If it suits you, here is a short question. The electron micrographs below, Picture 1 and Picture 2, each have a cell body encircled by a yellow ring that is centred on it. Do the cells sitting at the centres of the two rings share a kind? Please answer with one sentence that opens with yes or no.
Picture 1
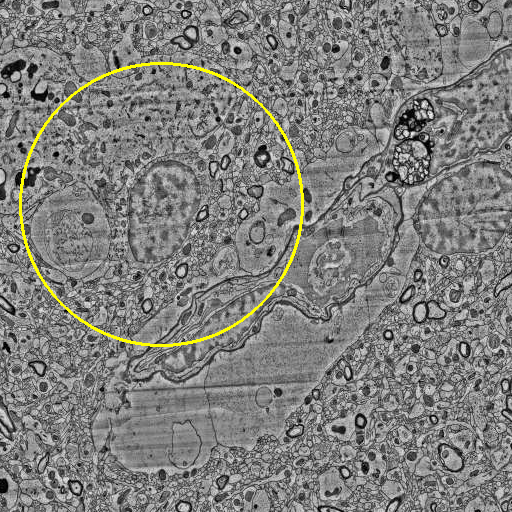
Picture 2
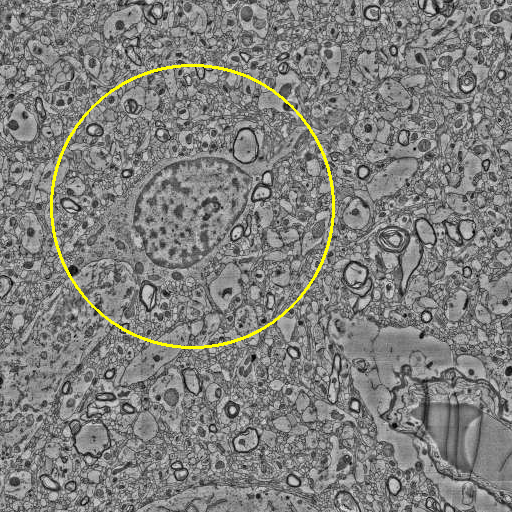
Yes, the two cells sitting at the ring centres share a single kind.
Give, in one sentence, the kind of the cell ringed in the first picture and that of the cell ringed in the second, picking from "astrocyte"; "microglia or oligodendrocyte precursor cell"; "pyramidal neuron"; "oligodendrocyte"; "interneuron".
Each cell, in the first picture and the second, is an oligodendrocyte.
